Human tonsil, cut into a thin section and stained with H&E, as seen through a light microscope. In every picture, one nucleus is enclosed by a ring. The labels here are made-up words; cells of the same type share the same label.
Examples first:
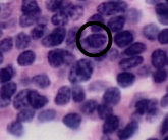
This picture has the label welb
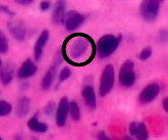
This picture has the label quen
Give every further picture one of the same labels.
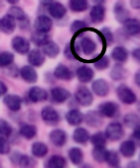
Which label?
welb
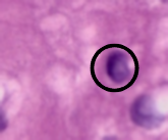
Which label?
quen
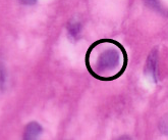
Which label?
quen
